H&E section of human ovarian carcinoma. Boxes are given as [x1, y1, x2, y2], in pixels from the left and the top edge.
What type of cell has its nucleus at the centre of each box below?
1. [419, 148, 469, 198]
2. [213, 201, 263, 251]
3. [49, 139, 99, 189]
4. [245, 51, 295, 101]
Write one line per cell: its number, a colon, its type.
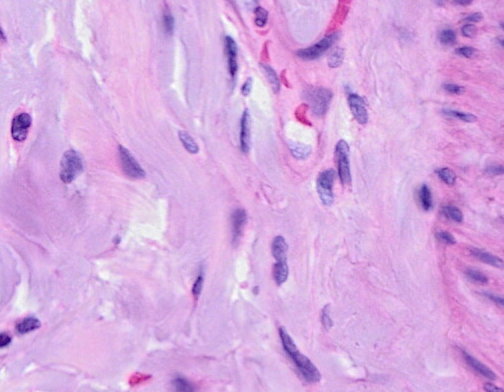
1: smooth muscle cell
2: fibroblast
3: fibroblast
4: endothelial cell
